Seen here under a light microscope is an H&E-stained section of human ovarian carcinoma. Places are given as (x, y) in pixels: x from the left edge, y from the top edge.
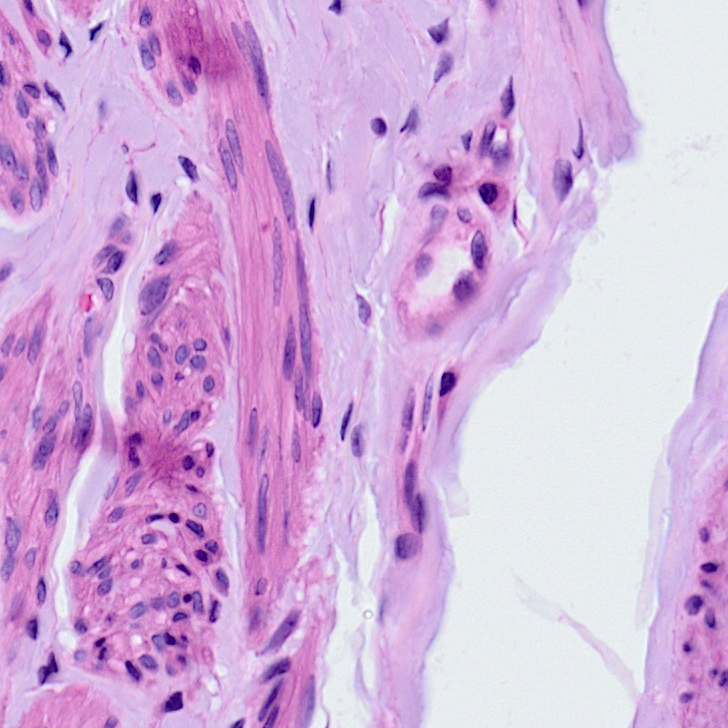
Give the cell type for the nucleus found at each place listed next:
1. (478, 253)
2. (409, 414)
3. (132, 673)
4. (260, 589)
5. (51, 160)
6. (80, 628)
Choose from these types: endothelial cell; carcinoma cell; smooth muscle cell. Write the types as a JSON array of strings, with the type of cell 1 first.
["endothelial cell", "endothelial cell", "smooth muscle cell", "smooth muscle cell", "smooth muscle cell", "smooth muscle cell"]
